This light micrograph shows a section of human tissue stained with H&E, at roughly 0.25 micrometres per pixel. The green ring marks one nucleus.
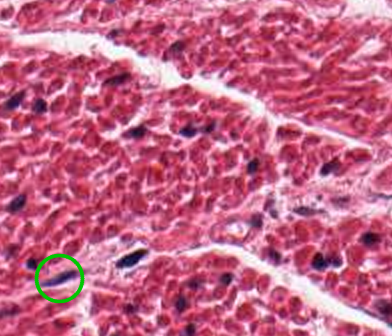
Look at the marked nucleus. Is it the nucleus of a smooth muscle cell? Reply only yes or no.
no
